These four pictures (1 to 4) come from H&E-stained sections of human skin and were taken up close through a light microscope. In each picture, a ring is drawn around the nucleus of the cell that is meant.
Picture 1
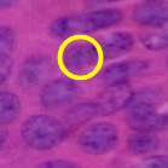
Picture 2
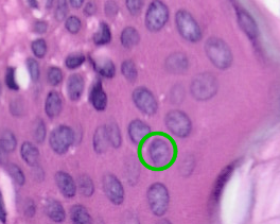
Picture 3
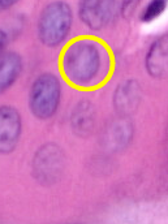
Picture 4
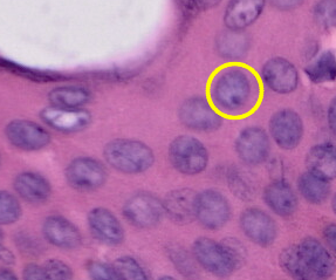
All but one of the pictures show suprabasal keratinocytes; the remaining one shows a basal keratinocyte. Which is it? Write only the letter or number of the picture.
1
